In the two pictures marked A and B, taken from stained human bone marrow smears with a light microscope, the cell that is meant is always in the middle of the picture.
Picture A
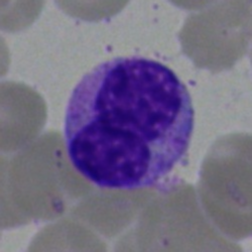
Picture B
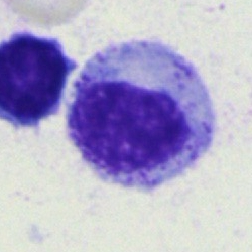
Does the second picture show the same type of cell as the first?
yes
